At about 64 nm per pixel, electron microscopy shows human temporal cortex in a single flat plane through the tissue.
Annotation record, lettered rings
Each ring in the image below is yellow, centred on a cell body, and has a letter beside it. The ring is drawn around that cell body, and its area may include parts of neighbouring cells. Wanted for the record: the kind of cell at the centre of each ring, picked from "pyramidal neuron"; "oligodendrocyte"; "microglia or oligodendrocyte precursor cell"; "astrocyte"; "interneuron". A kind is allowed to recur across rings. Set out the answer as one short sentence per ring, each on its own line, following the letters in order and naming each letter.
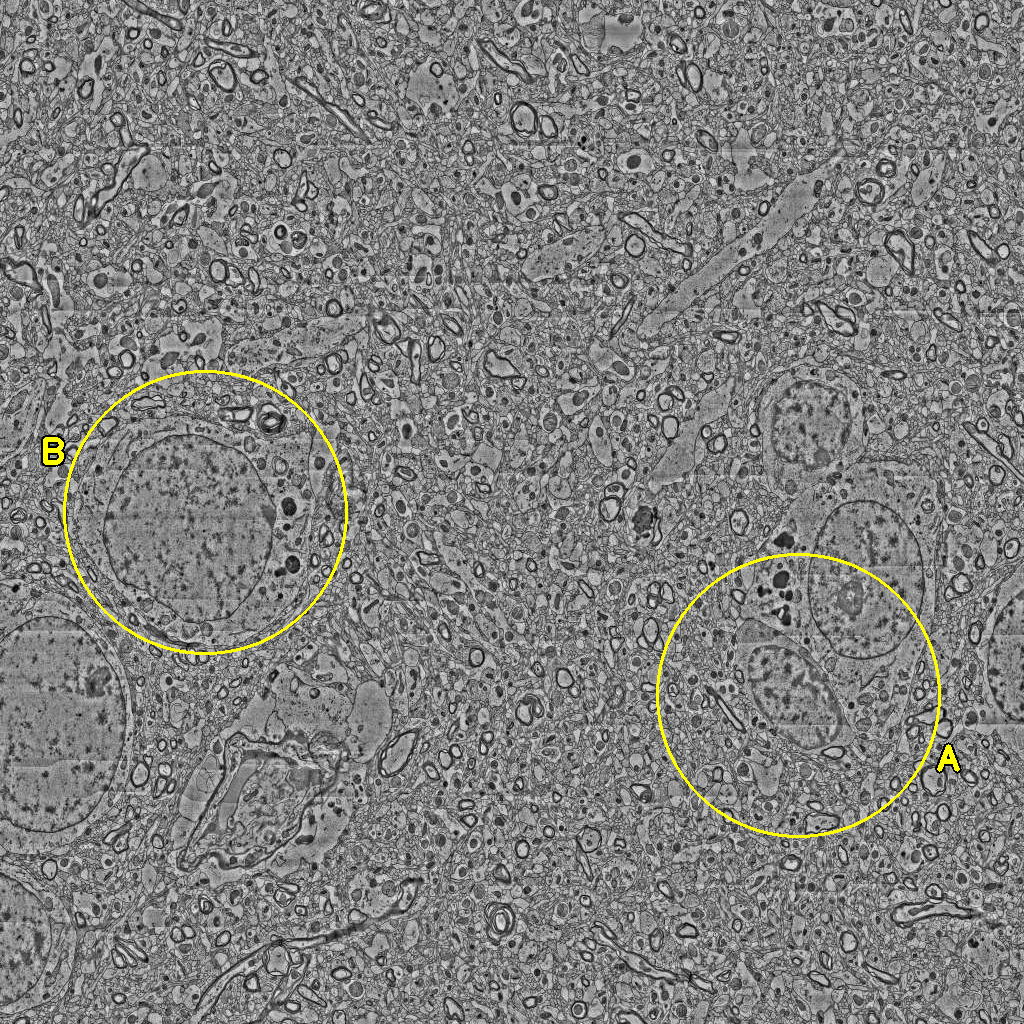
Ring A was drawn on an oligodendrocyte.
Ring B was drawn on a pyramidal neuron.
